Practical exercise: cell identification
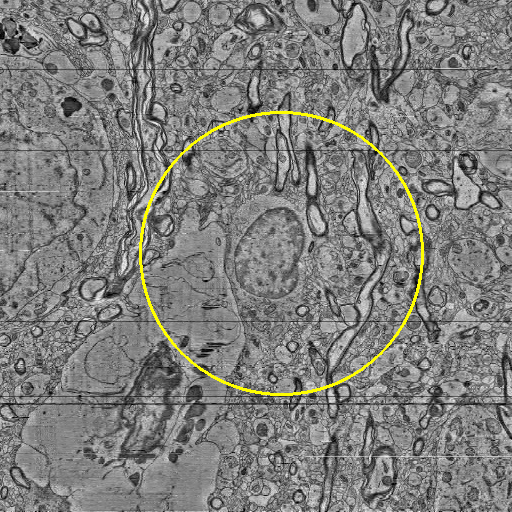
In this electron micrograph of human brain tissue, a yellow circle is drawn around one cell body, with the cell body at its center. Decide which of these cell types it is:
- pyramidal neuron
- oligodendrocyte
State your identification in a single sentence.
The ringed cell is an oligodendrocyte.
